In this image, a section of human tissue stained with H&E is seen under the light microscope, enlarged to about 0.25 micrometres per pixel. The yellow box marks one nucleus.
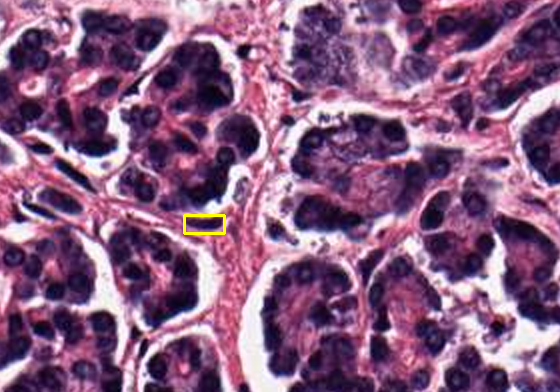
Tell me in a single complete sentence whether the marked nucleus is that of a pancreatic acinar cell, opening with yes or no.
No, belonging to a supporting cell, the marked nucleus is not part of a pancreatic acinar cell.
